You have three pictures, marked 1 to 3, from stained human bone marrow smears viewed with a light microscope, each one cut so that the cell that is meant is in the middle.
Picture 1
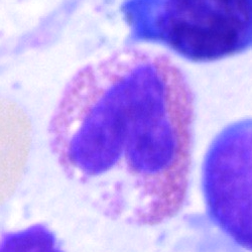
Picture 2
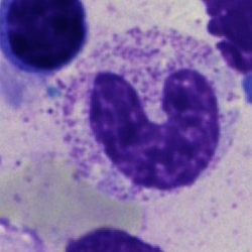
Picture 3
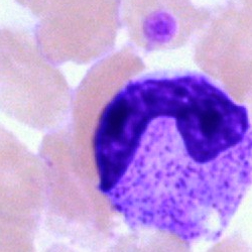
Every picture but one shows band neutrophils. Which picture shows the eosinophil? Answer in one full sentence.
The eosinophil is the one in picture 1.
